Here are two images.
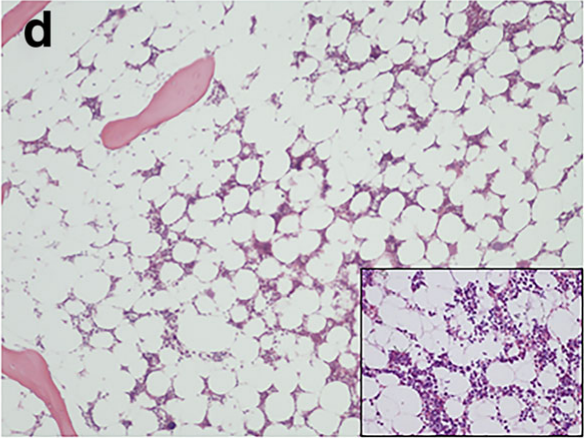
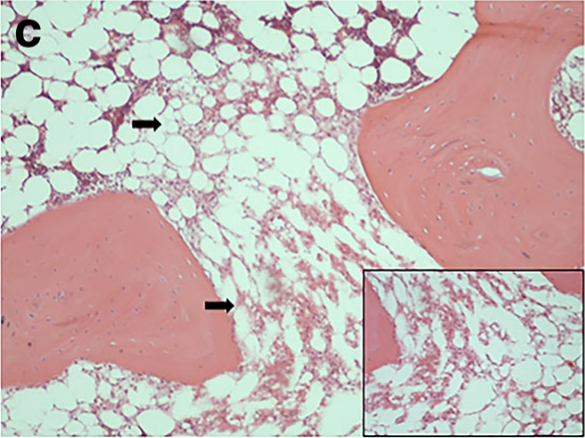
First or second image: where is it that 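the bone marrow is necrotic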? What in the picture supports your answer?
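The second image. First image: marrow between fat cells holds clusters of dark purple-nucleated cells. Second image: marrow next to the trabeculae is loose, pale and pink with scattered red cells and few nuclei.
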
